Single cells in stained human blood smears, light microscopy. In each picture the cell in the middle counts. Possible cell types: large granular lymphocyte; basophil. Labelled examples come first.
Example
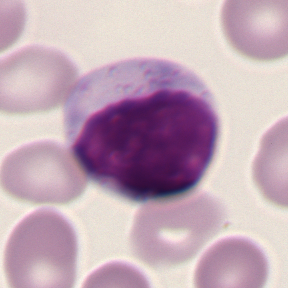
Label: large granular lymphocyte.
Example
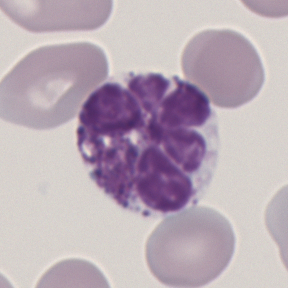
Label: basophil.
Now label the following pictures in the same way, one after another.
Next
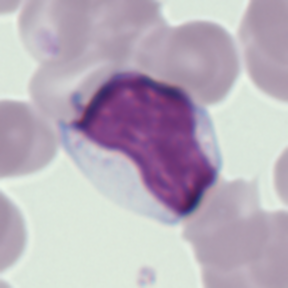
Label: large granular lymphocyte.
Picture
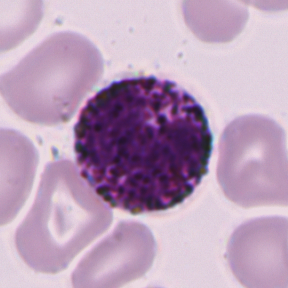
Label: basophil.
